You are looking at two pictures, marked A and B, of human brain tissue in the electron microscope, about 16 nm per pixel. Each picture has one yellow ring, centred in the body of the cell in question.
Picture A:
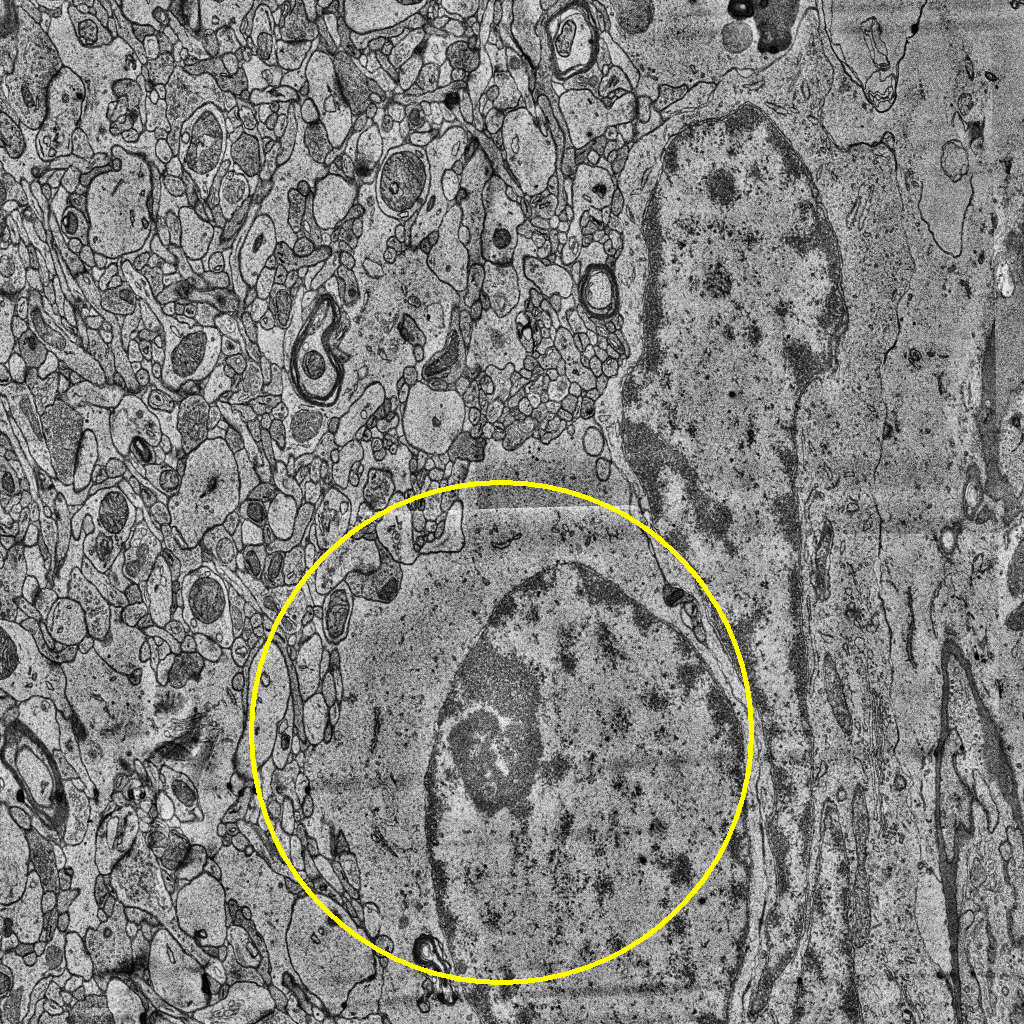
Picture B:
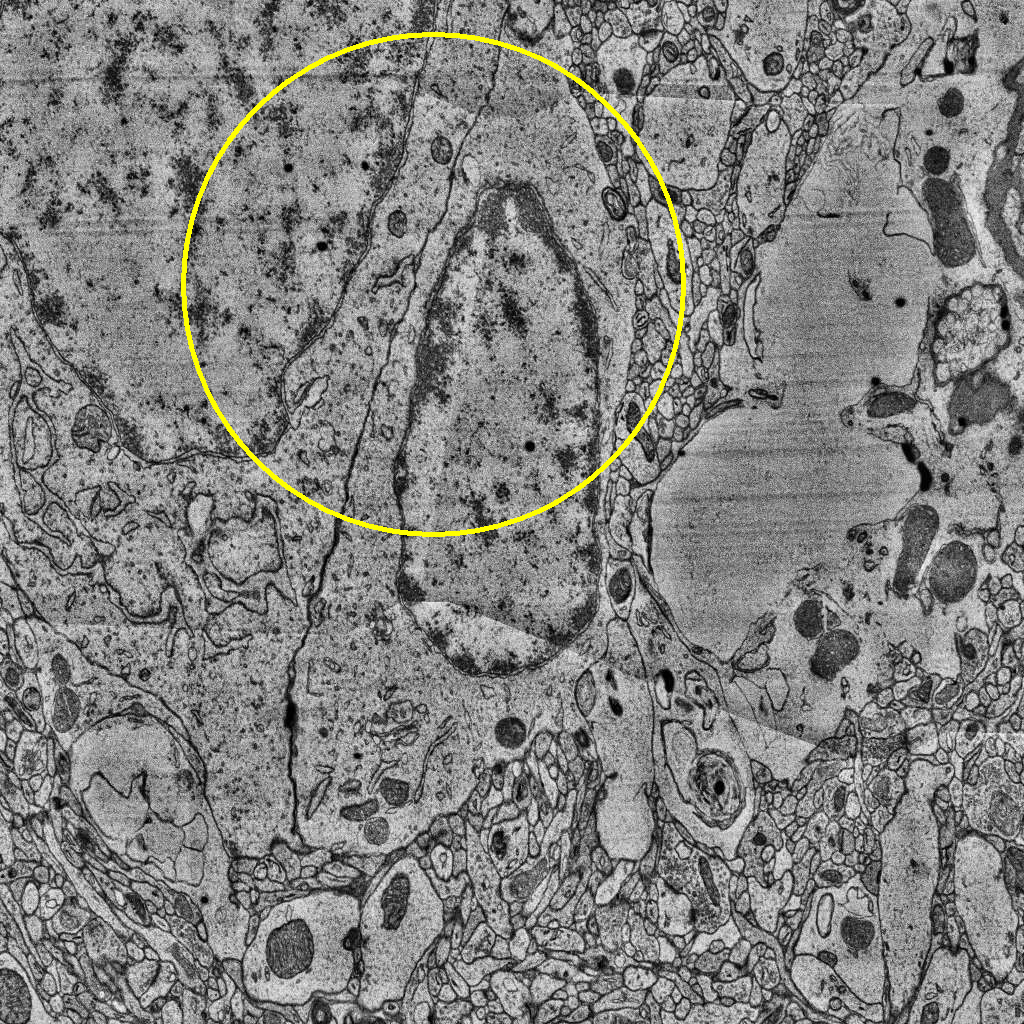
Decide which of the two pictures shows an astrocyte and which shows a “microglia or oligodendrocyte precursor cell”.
Picture A is of an astrocyte, and picture B is of a “microglia or oligodendrocyte precursor cell”.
